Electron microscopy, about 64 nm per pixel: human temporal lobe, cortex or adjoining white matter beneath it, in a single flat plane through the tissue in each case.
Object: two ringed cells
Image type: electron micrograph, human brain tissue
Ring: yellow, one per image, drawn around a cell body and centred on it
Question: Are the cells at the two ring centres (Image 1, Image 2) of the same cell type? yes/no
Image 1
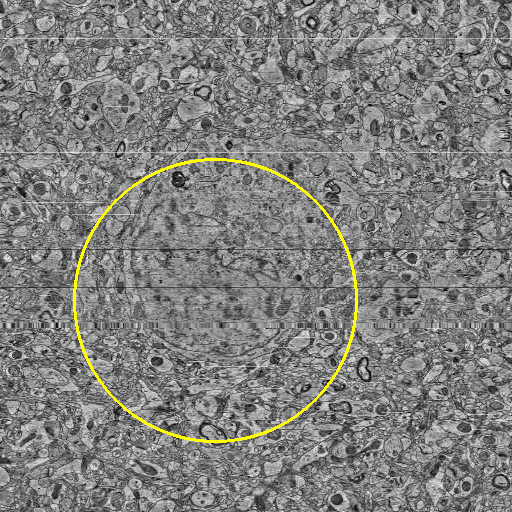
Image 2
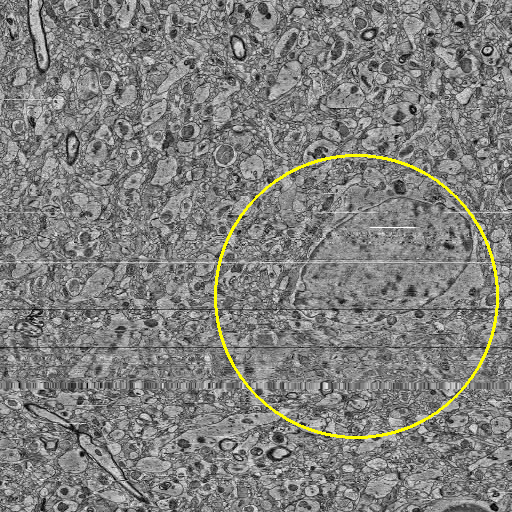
no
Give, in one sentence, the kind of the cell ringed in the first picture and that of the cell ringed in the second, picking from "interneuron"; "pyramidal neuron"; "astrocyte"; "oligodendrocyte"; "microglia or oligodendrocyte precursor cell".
For the first picture it is an interneuron; for the second, a microglial cell or oligodendrocyte precursor cell.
